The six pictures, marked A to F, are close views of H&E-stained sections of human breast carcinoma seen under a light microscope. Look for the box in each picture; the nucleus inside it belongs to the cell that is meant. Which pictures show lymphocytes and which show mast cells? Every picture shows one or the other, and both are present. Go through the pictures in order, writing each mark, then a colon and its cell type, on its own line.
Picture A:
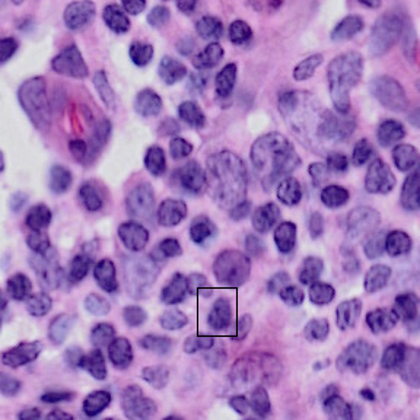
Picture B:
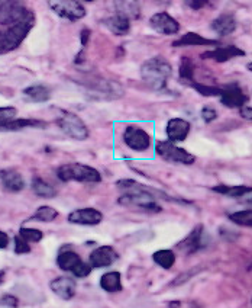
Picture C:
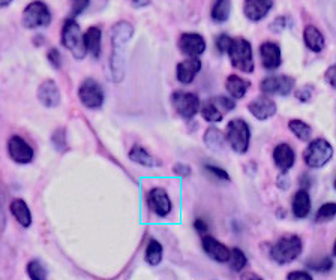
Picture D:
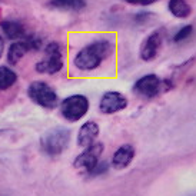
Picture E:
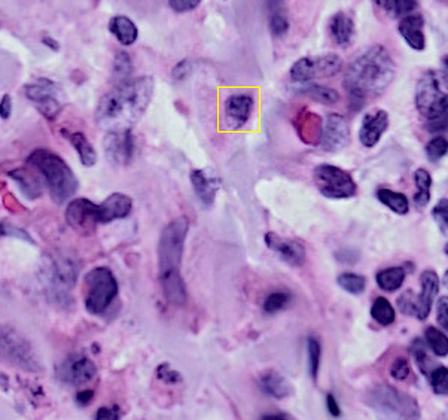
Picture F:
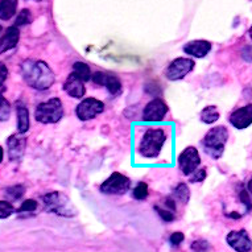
A: lymphocyte
B: lymphocyte
C: lymphocyte
D: mast cell
E: mast cell
F: lymphocyte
